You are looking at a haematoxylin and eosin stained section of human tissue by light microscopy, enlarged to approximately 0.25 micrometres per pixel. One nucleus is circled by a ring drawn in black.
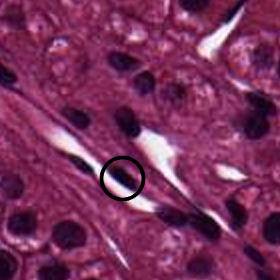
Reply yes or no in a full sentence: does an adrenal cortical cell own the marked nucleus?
No, the marked nucleus belongs to a supporting cell, not to an adrenal cortical cell.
